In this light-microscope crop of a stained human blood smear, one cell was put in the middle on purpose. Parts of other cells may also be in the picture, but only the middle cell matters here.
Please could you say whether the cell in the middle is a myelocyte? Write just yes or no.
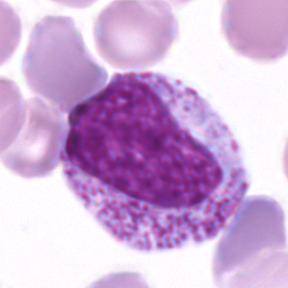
yes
